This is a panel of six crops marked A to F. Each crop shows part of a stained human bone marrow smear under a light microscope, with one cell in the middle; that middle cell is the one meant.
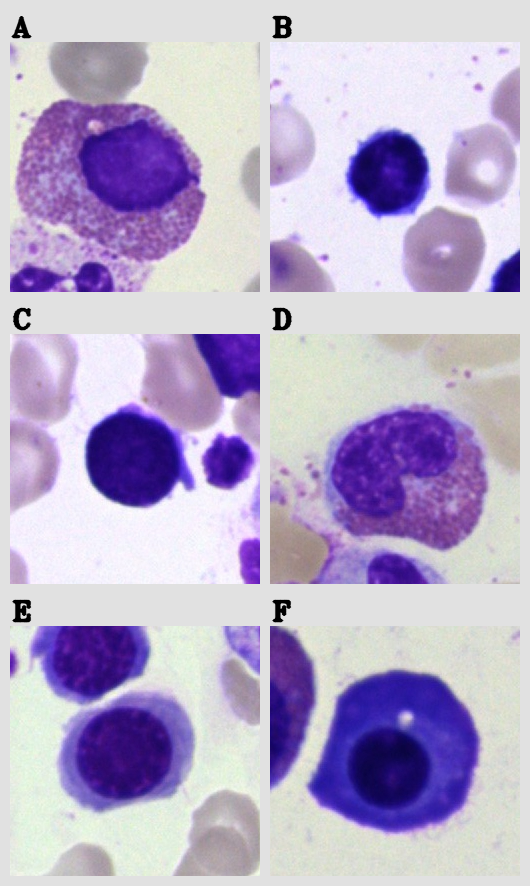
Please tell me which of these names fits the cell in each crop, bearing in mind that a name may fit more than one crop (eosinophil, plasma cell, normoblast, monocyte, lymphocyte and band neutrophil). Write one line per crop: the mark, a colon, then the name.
A: eosinophil
B: lymphocyte
C: lymphocyte
D: eosinophil
E: normoblast
F: plasma cell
